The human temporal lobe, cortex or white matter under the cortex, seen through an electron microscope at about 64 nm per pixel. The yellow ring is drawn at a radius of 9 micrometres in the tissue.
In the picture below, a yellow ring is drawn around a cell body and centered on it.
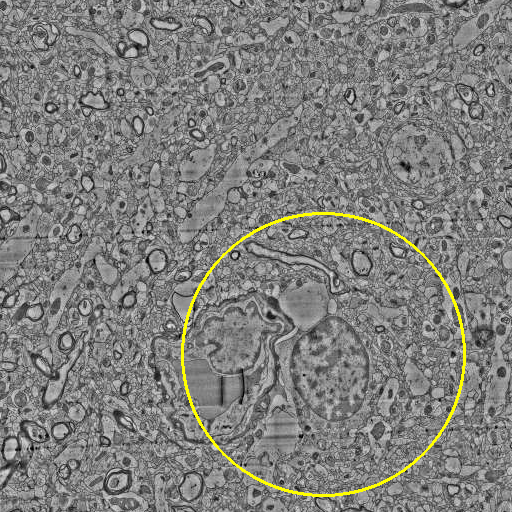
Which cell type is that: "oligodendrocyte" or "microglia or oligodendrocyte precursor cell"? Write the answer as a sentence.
The cell centered in the ring is an oligodendrocyte.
